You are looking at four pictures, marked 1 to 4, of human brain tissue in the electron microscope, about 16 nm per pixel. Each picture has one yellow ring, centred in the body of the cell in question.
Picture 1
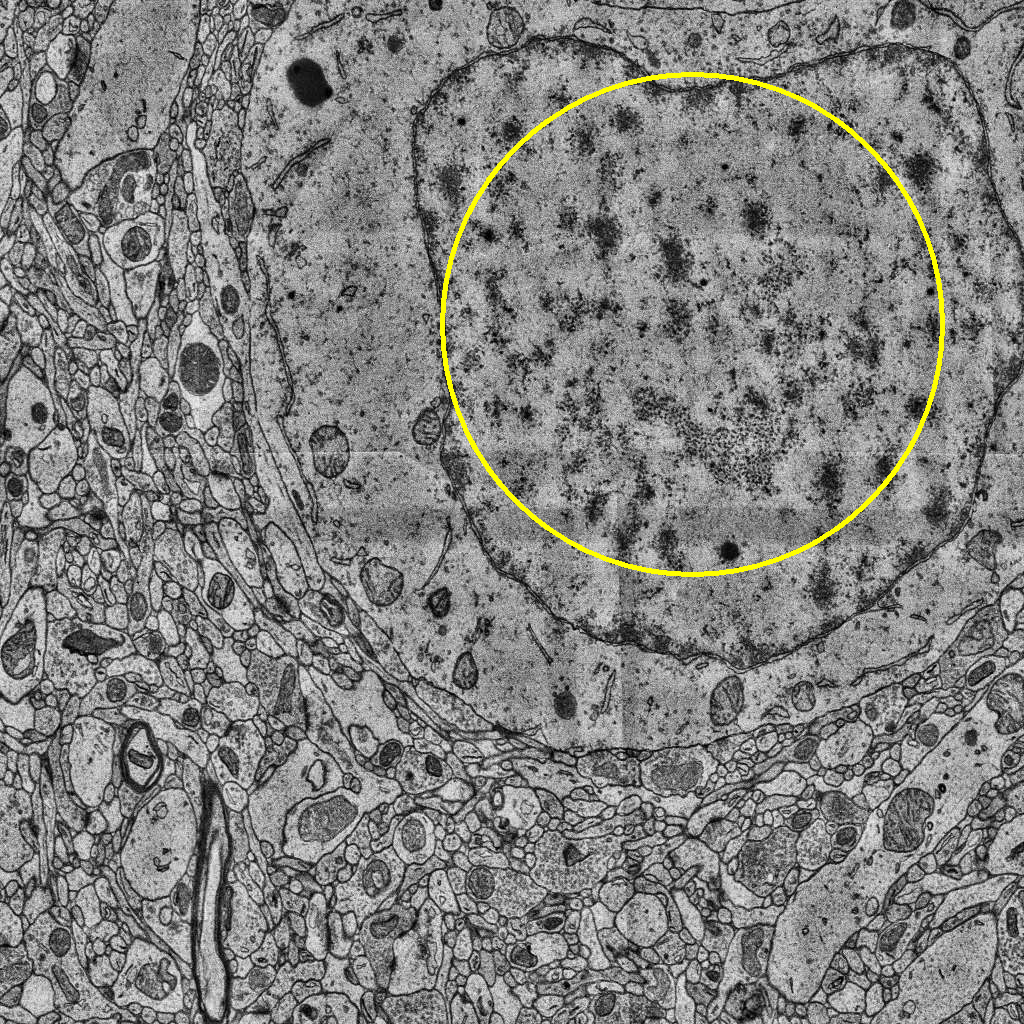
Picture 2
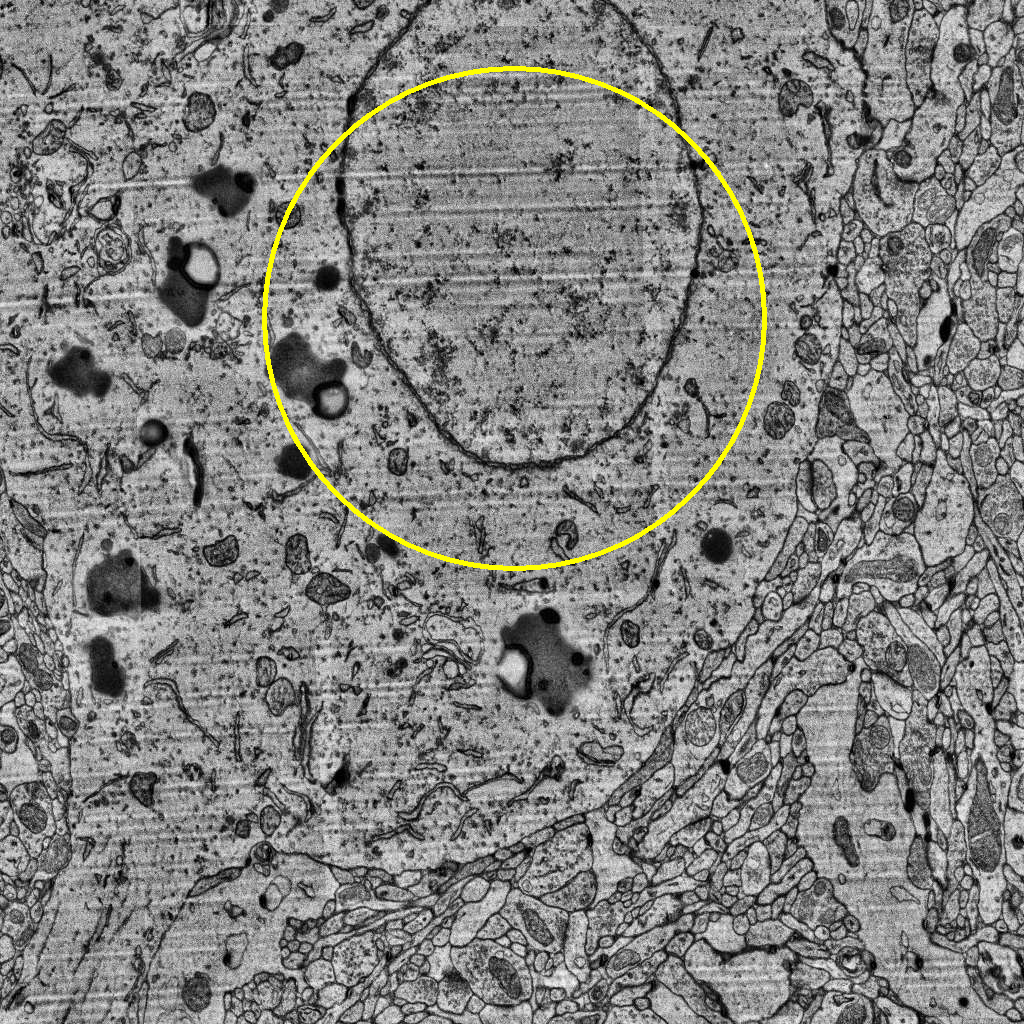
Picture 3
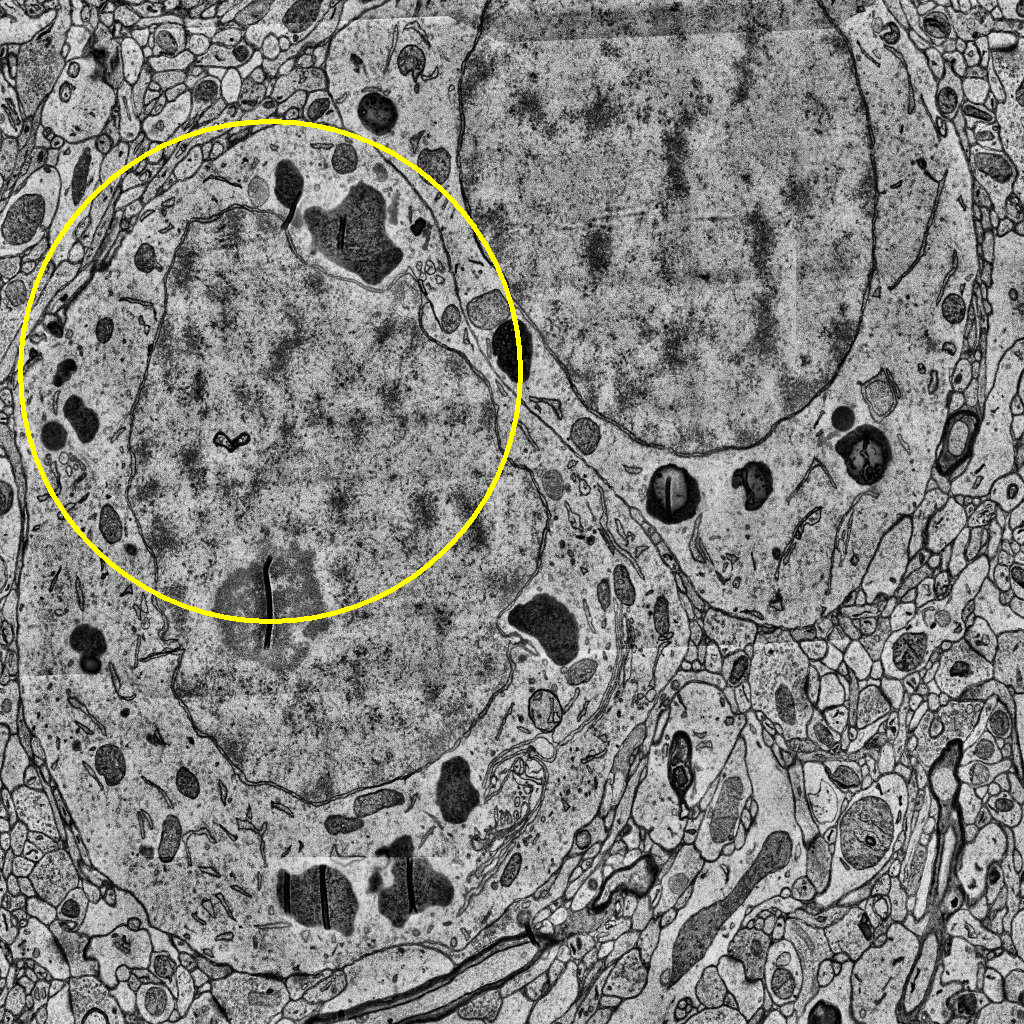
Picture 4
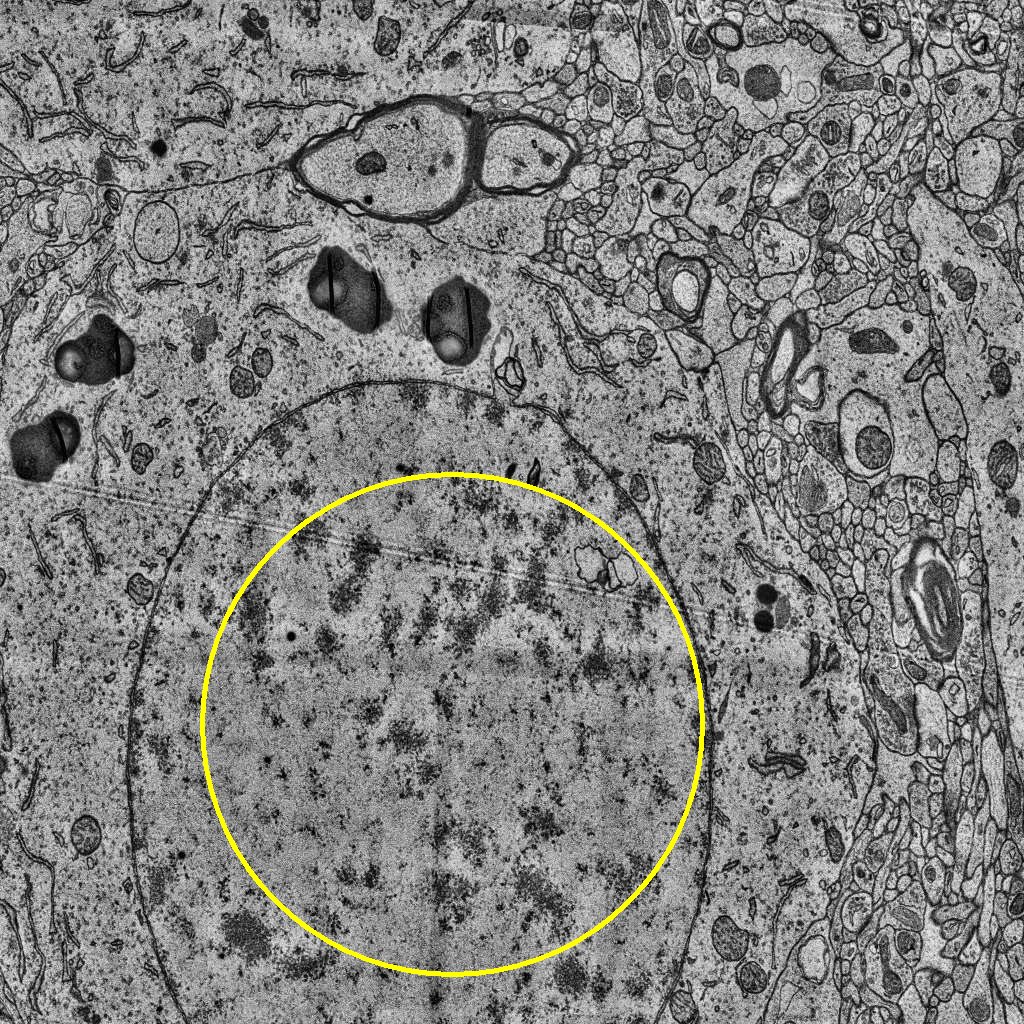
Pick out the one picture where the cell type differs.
Unlike the rest, which show pyramidal neurons, picture 3 shows an interneuron.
